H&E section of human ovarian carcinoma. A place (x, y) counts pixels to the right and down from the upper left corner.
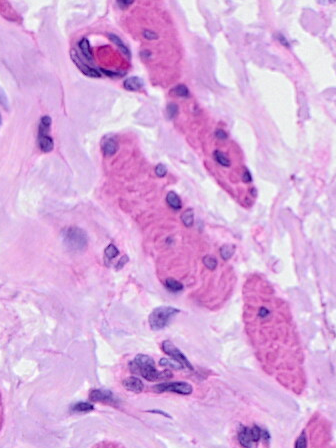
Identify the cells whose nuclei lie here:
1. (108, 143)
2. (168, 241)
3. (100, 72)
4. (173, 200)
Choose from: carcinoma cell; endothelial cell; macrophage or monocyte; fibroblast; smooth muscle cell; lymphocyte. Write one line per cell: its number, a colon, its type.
1: smooth muscle cell
2: smooth muscle cell
3: endothelial cell
4: smooth muscle cell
